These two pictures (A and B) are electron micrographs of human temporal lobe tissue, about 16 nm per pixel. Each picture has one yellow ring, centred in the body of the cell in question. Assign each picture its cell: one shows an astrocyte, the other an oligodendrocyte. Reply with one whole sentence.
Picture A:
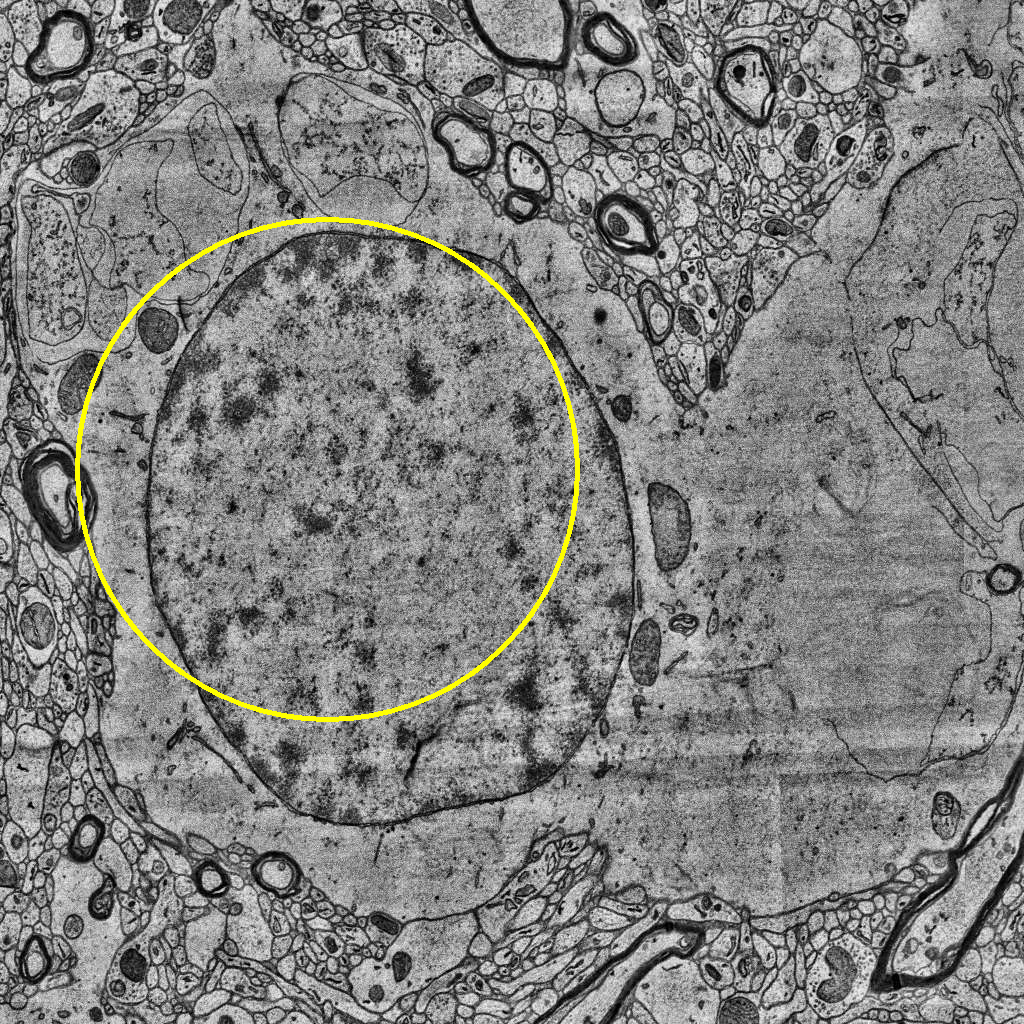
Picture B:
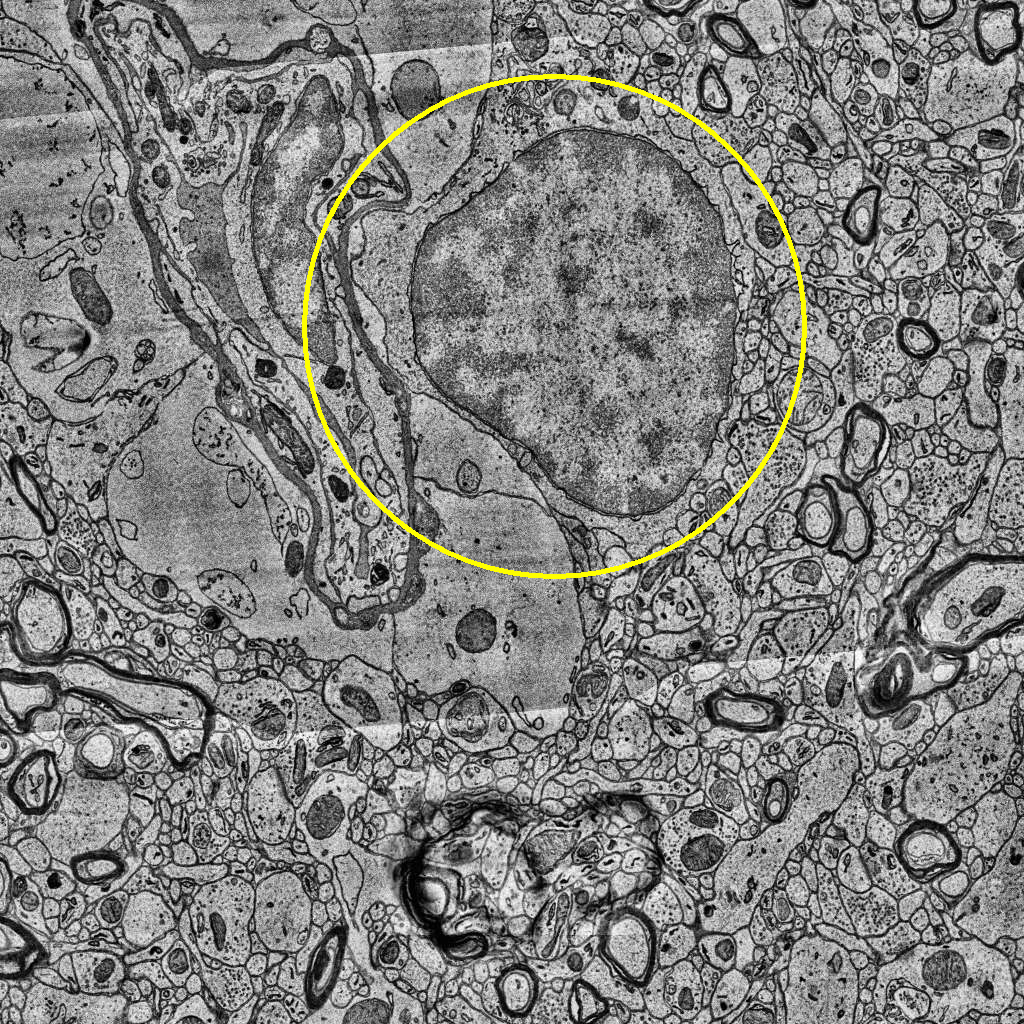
In picture A the cell is an astrocyte; in picture B, an oligodendrocyte.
